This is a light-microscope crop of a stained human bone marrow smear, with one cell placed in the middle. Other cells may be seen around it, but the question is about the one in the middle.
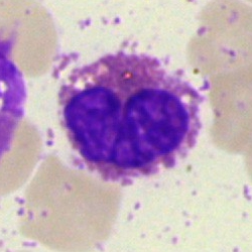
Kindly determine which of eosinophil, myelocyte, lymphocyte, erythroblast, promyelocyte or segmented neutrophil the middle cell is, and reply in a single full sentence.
At the crop's centre, the cell is an eosinophil.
